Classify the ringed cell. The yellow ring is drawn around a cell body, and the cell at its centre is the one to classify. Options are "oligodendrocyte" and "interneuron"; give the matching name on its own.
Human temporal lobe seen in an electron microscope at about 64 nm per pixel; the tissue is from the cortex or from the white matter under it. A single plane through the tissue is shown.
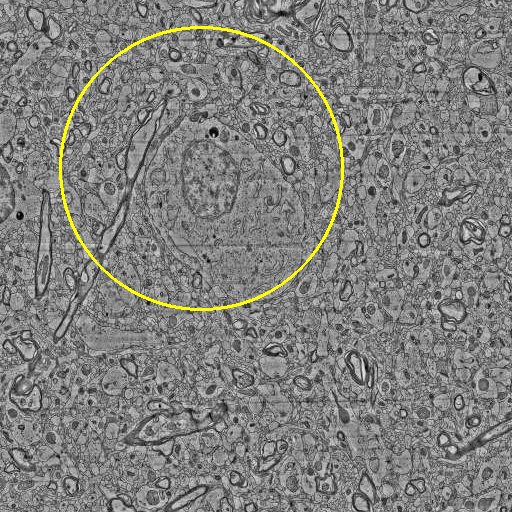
interneuron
